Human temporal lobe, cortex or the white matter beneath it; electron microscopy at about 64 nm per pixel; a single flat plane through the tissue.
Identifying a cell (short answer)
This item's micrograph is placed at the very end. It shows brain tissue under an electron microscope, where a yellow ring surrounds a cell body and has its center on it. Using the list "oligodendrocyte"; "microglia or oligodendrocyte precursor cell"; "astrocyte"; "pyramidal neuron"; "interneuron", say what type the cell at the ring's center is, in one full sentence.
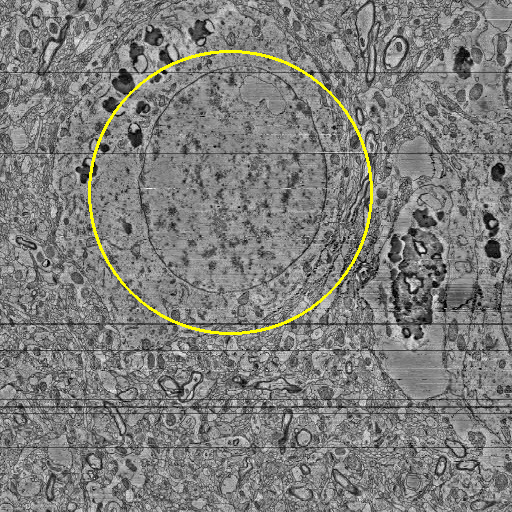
This picture shows a pyramidal neuron at the center of the yellow ring drawn on it.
